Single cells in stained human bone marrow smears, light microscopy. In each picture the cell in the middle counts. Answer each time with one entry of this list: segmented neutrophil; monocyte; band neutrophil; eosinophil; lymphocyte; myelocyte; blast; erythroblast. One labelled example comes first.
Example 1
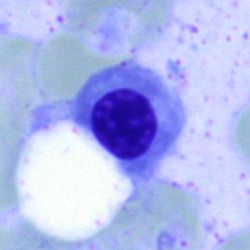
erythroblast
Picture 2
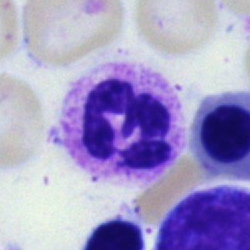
segmented neutrophil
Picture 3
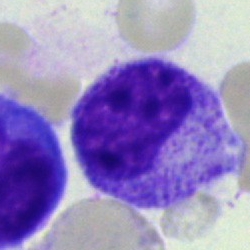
myelocyte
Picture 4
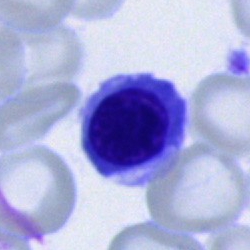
erythroblast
